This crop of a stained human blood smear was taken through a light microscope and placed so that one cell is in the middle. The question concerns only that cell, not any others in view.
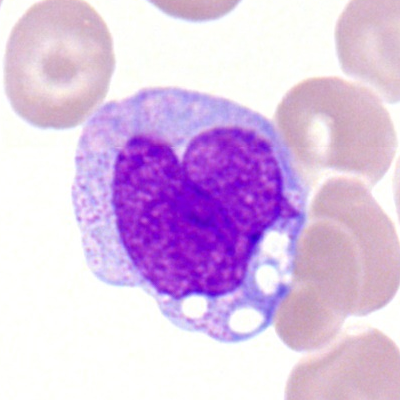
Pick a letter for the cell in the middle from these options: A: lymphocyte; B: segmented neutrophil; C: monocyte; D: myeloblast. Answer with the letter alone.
C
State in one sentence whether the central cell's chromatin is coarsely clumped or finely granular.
In this cell the chromatin is fine rather than coarsely clumped.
